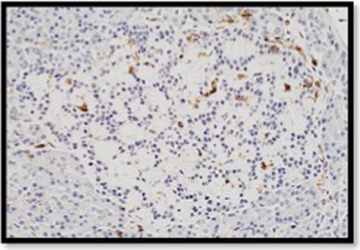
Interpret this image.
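This is a pancreatic islet: a compact cluster of pale endocrine cells with small round blue nuclei, set off from the surrounding tissue. The brown cells lie singly between the islet cells and along the margins of the cluster rather than forming dense aggregates.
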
